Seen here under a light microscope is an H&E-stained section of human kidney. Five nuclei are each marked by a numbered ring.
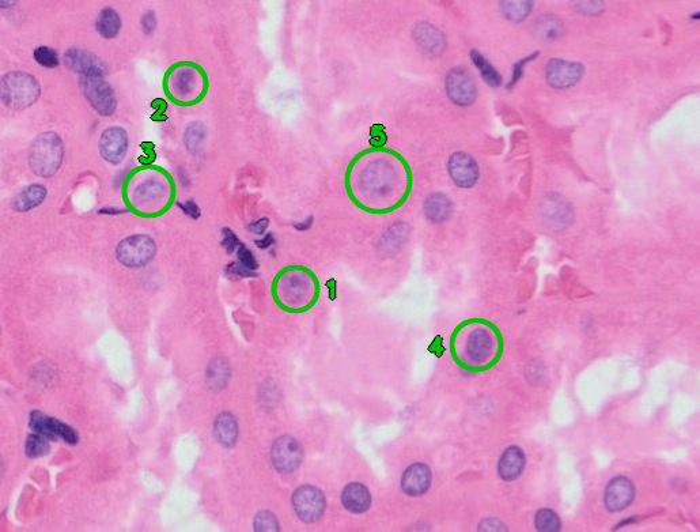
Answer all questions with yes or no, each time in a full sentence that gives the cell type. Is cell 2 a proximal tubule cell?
No, the cell carrying number 2 is a collecting duct cell, not a proximal tubule cell.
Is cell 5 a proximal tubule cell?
Yes, the cell identified by number 5 is a proximal tubule cell.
